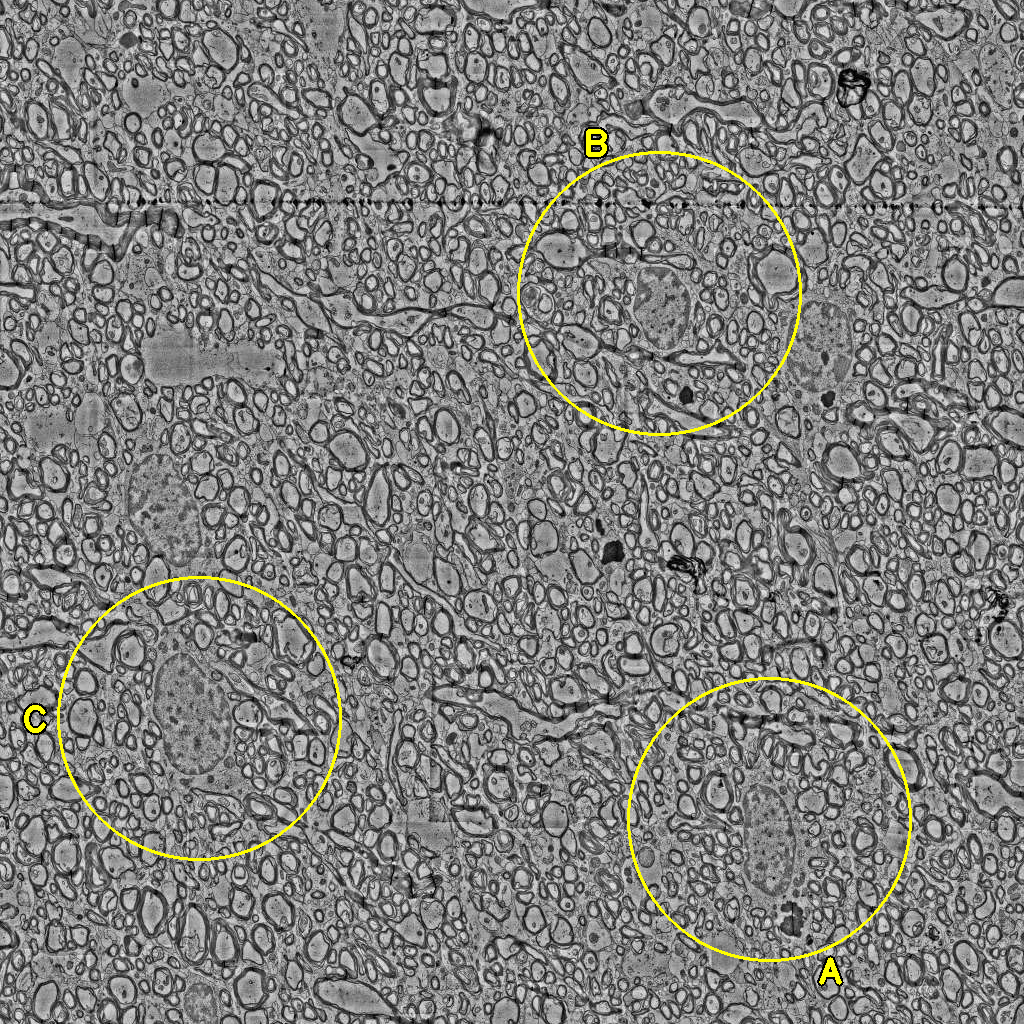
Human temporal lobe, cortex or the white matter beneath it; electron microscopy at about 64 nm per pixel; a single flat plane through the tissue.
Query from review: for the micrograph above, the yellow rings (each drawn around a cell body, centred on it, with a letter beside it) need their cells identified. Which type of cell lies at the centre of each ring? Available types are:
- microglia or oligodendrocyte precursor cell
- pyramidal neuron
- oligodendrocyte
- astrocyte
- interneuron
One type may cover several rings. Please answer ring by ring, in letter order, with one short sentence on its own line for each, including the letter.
Ring A is drawn around an oligodendrocyte.
Ring B is drawn around a microglial cell or oligodendrocyte precursor cell.
Ring C is drawn around an oligodendrocyte.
